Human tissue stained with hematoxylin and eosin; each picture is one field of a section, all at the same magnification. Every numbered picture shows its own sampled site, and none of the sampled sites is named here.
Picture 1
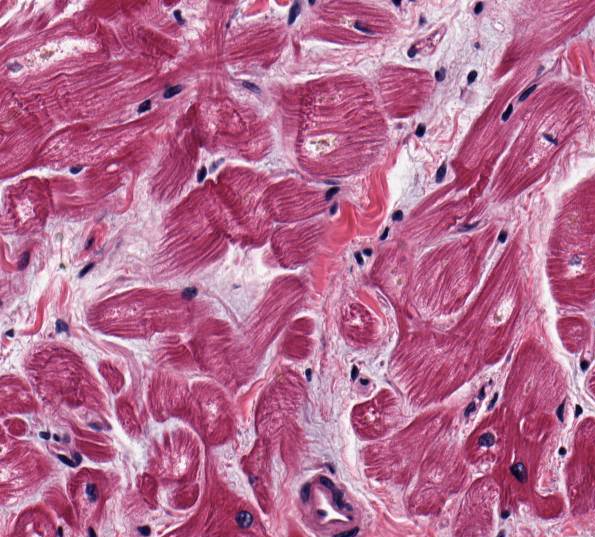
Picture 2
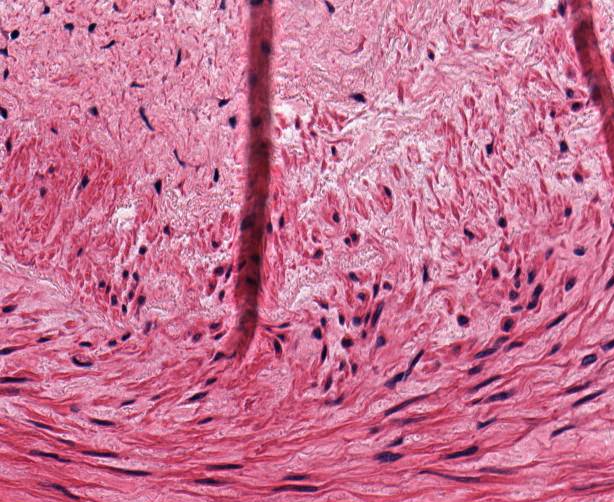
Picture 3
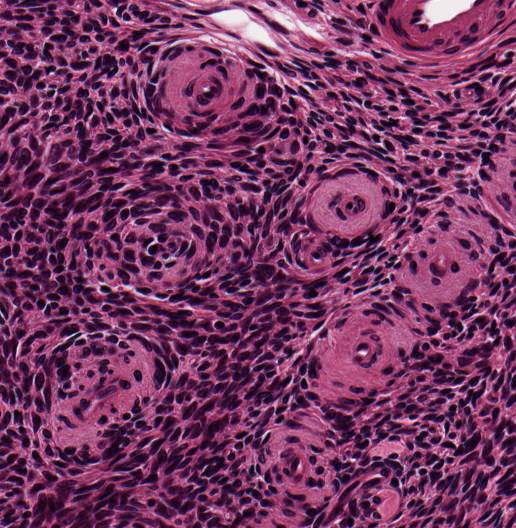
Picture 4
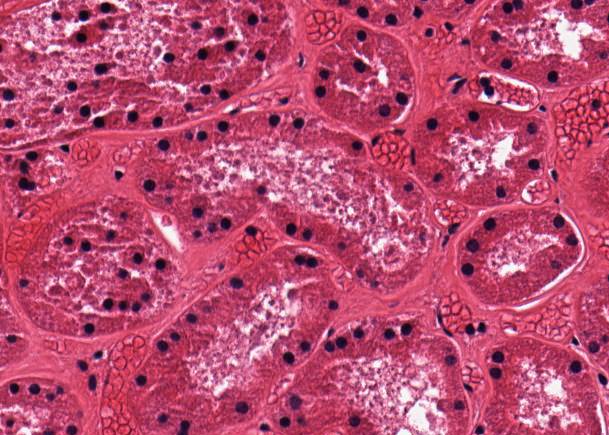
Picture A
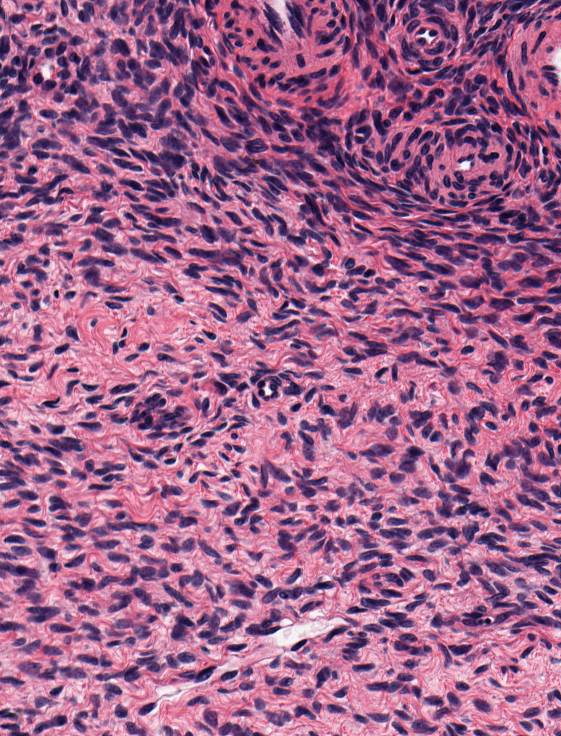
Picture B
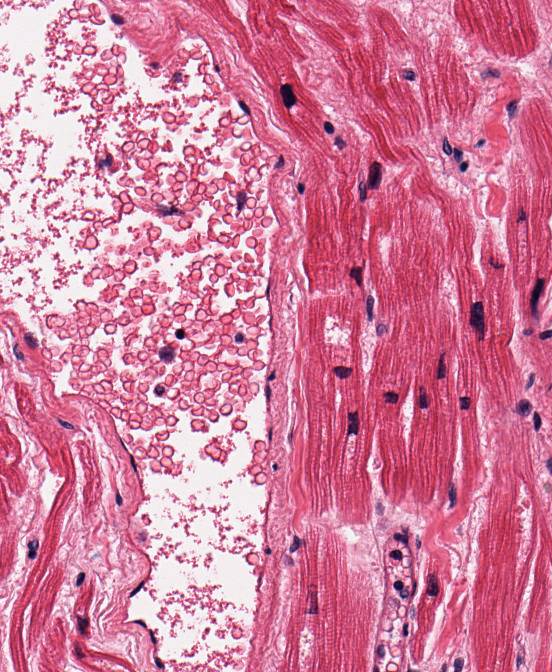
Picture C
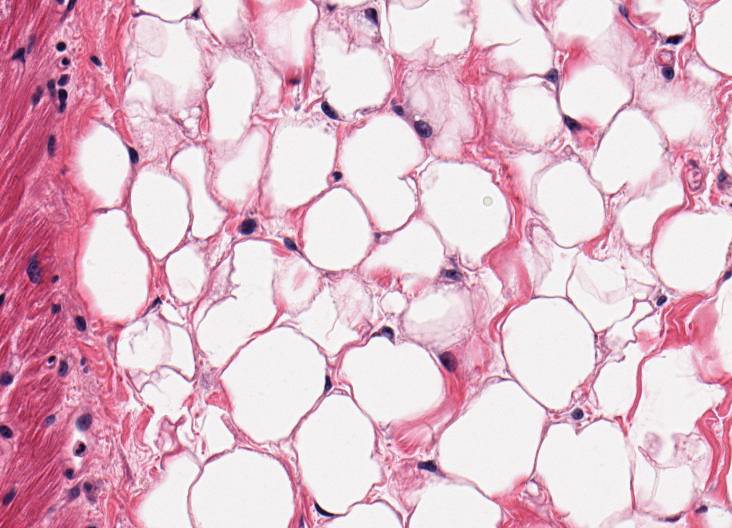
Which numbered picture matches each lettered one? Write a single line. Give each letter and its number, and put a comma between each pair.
A 3, B 1, C 1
